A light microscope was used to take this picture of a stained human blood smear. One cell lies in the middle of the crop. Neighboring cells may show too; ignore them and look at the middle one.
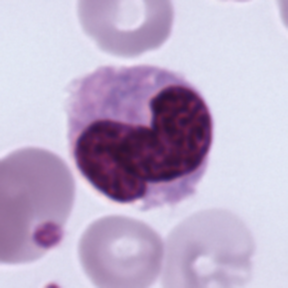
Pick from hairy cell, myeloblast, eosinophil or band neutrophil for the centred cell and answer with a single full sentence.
The cell the crop is centered on is a band neutrophil.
